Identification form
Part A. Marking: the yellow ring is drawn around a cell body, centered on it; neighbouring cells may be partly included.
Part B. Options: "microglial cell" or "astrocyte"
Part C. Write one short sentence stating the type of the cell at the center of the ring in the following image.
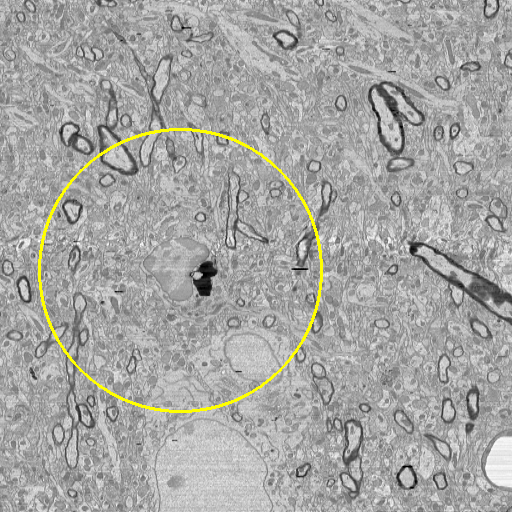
The center of the ring holds a microglial cell.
